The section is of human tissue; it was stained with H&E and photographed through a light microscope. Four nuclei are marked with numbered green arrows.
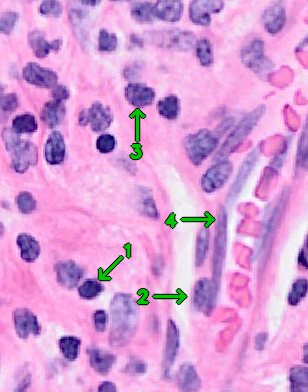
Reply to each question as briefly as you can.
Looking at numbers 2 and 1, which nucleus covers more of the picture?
2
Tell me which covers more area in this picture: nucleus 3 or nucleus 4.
3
